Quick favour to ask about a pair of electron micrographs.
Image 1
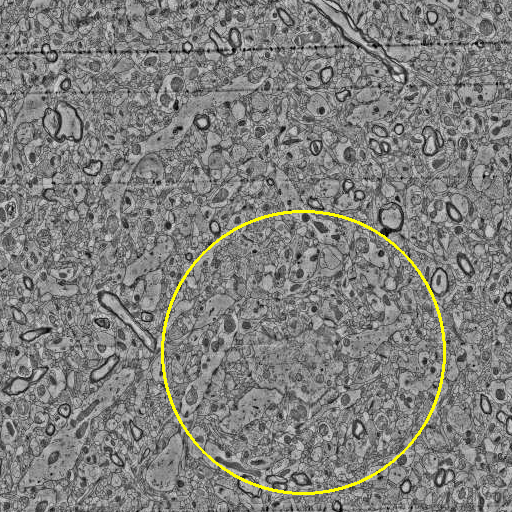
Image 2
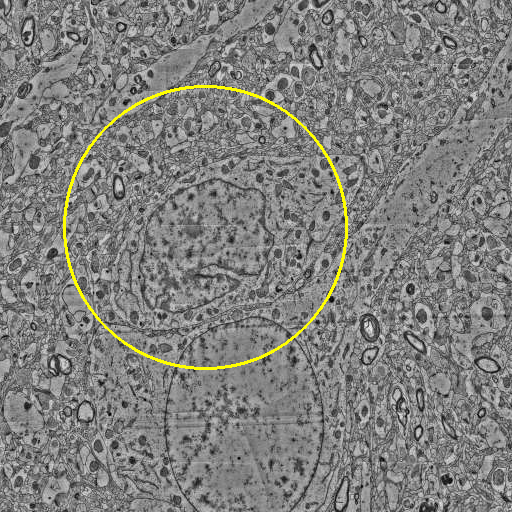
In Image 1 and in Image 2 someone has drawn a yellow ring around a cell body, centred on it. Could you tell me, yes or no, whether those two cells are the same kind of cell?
yes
